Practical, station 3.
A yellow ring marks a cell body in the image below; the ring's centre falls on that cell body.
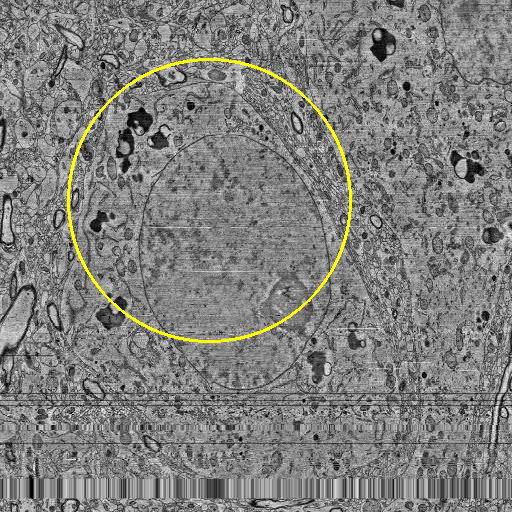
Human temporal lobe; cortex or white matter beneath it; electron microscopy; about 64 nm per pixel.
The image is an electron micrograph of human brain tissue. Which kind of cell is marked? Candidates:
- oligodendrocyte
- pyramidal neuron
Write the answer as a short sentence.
The marked cell body is that of a pyramidal neuron.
